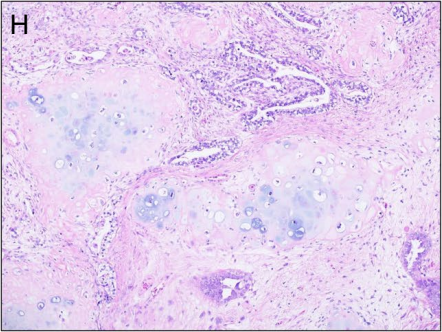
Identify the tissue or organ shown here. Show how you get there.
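Cartilage. Islands of bluish-grey matrix. Rounded cells lying in clear lacunae within the matrix. Small glands lie in the stroma between the islands.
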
